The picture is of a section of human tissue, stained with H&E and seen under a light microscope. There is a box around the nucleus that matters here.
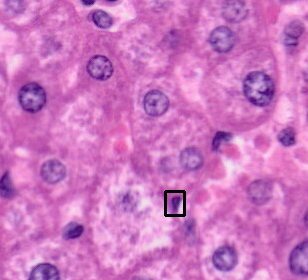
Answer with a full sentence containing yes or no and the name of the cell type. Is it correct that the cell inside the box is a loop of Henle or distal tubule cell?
No, mate, the cell inside the box is a fibroblast or stellate cell rather than a loop of Henle or distal tubule cell.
